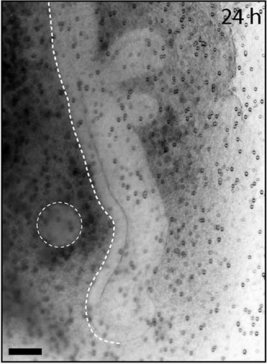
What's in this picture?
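The traced side of the epithelium runs as a fairly smooth, gently curving line without small outpocketings. A round bead lies in the mesenchyme to the left, away from the tube. The tip of the tube ends in a rounded end near the lower edge.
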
